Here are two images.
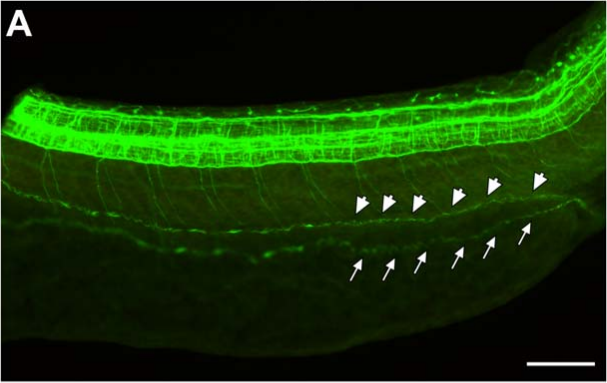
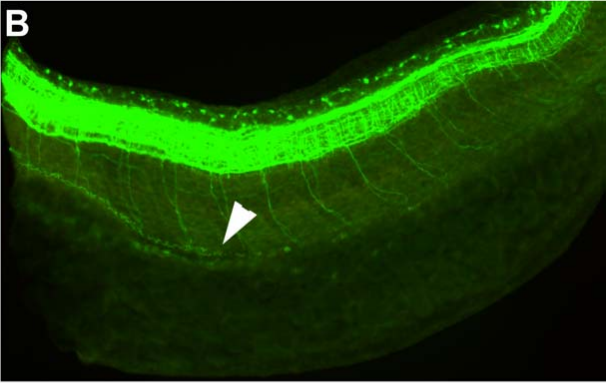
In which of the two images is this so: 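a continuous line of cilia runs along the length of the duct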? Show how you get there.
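Second image: the beaded green line along the lower trunk fades out, with little green line posterior to the large arrowhead. First image: a continuous beaded green line runs along the lower trunk over its whole length, with a second parallel line below it.
Hence: the first image.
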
